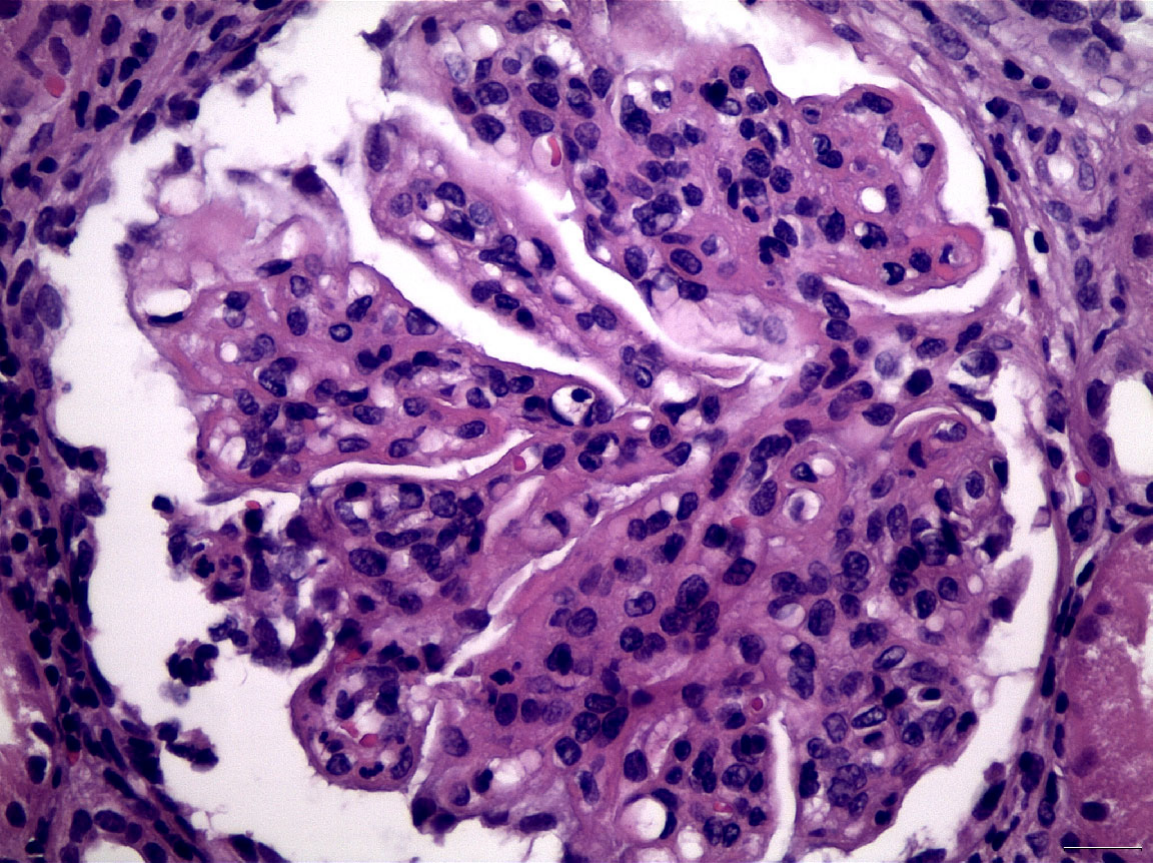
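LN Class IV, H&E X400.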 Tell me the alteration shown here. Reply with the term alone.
Lobulation of glomerular architecture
